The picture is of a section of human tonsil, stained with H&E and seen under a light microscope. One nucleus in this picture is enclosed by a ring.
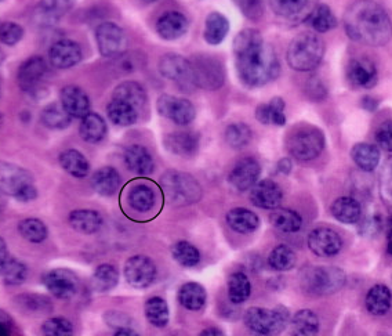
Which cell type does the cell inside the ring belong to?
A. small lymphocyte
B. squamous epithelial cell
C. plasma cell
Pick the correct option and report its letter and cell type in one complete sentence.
The choice that fits is option C, as the cell inside the ring is a plasma cell.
